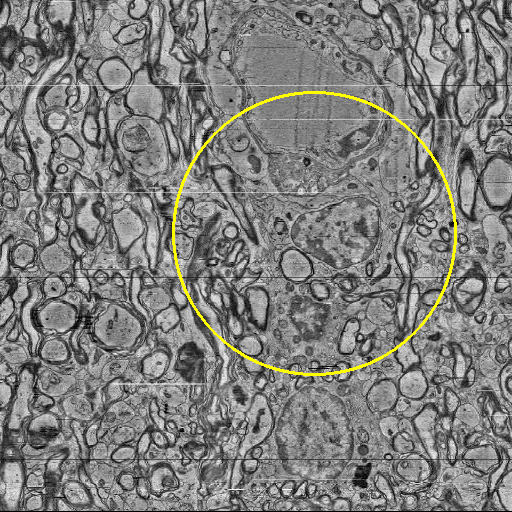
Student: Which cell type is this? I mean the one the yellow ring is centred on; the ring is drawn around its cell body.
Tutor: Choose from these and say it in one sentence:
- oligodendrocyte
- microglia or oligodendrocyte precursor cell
The cell the ring is centred on is a microglial cell or oligodendrocyte precursor cell.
